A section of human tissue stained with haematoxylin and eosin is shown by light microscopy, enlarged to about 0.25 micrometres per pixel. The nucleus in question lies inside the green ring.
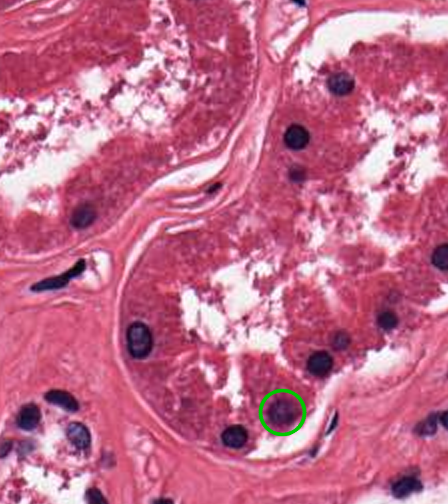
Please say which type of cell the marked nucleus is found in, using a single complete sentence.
Marked in this picture is the nucleus of a proximal tubule cell.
